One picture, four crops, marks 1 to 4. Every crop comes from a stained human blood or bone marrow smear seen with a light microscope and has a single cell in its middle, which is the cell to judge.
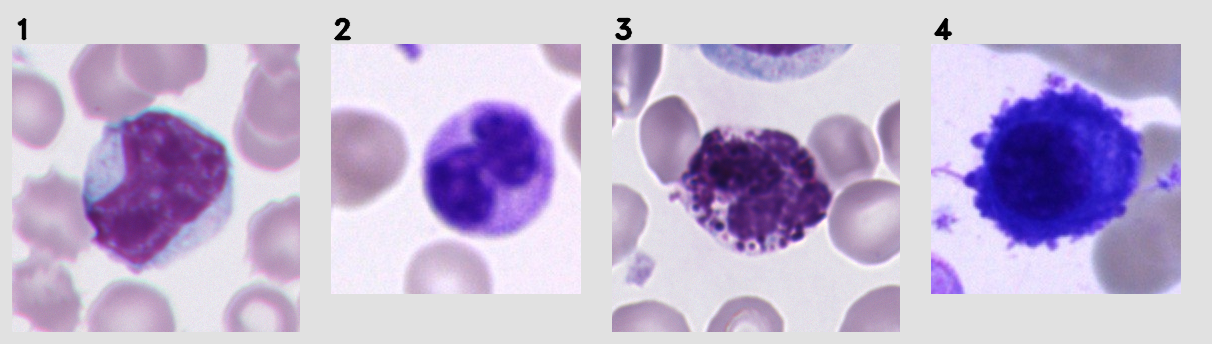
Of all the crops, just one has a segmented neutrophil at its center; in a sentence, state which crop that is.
The crop showing a segmented neutrophil in this series is crop 2.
